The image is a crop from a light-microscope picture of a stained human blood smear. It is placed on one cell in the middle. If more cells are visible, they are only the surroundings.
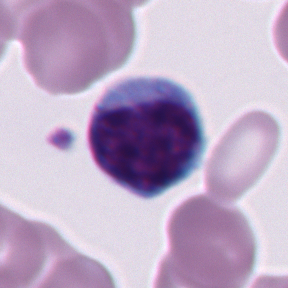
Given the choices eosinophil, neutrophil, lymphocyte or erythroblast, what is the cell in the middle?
lymphocyte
